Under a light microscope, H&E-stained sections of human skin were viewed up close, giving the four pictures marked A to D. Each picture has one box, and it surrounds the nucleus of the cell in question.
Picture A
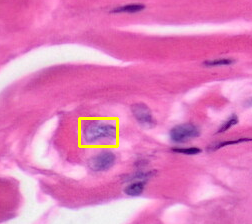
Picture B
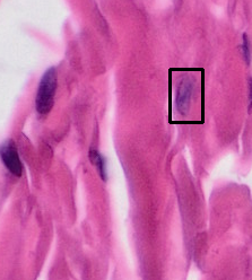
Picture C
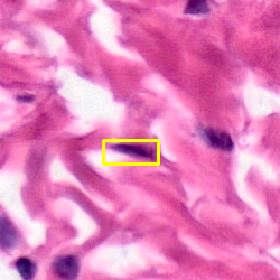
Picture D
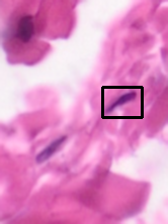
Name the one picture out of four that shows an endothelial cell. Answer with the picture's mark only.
A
